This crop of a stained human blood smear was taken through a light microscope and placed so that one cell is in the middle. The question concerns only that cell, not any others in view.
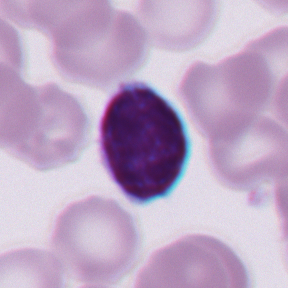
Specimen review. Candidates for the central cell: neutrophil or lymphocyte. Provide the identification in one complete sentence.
The cell shown in the center of this light-microscope crop is a lymphocyte.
